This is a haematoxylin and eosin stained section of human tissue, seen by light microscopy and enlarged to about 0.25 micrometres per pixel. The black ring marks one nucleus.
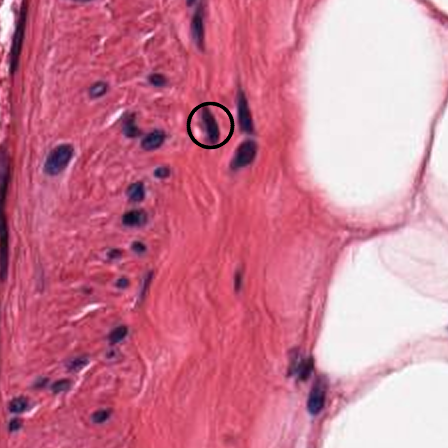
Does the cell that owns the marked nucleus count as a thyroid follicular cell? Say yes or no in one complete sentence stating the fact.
No, the marked nucleus is found in a supporting cell instead of in a thyroid follicular cell.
